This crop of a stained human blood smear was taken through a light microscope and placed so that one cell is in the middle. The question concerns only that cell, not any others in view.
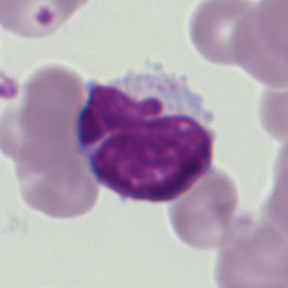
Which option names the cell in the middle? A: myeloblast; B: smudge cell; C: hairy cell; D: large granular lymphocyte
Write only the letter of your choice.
D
